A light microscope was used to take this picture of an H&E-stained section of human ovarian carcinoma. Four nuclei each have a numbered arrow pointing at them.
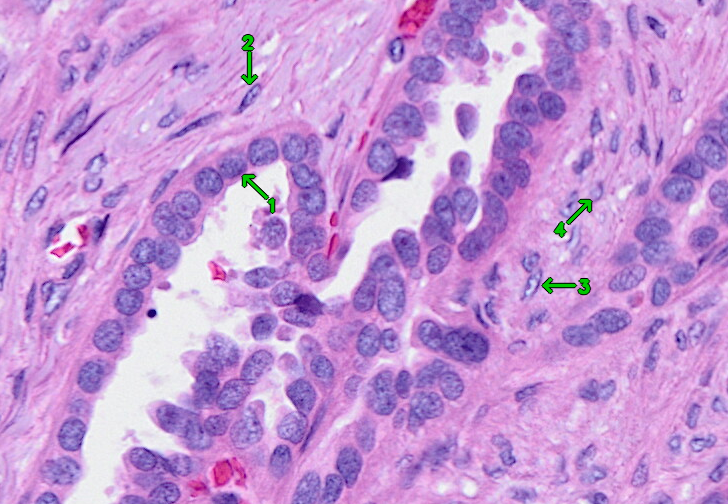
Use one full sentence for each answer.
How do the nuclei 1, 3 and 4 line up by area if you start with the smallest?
By area, going up from the smallest, they rank 4, 3, 1.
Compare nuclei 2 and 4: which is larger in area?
Nucleus 2 is the larger one, covering about 2 times the area of nucleus 4.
